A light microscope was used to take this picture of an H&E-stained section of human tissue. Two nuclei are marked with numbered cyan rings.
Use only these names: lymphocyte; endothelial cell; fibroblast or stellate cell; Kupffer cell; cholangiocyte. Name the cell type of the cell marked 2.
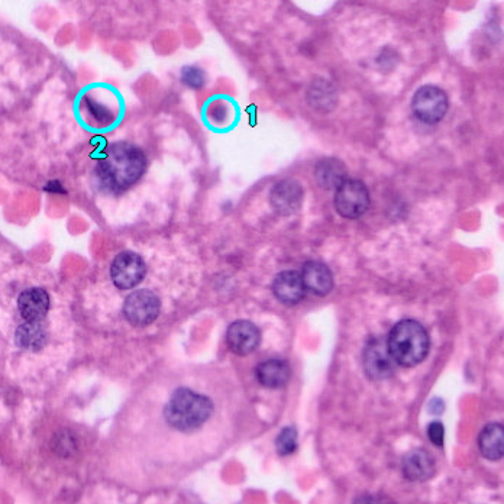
fibroblast or stellate cell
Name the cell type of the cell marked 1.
lymphocyte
